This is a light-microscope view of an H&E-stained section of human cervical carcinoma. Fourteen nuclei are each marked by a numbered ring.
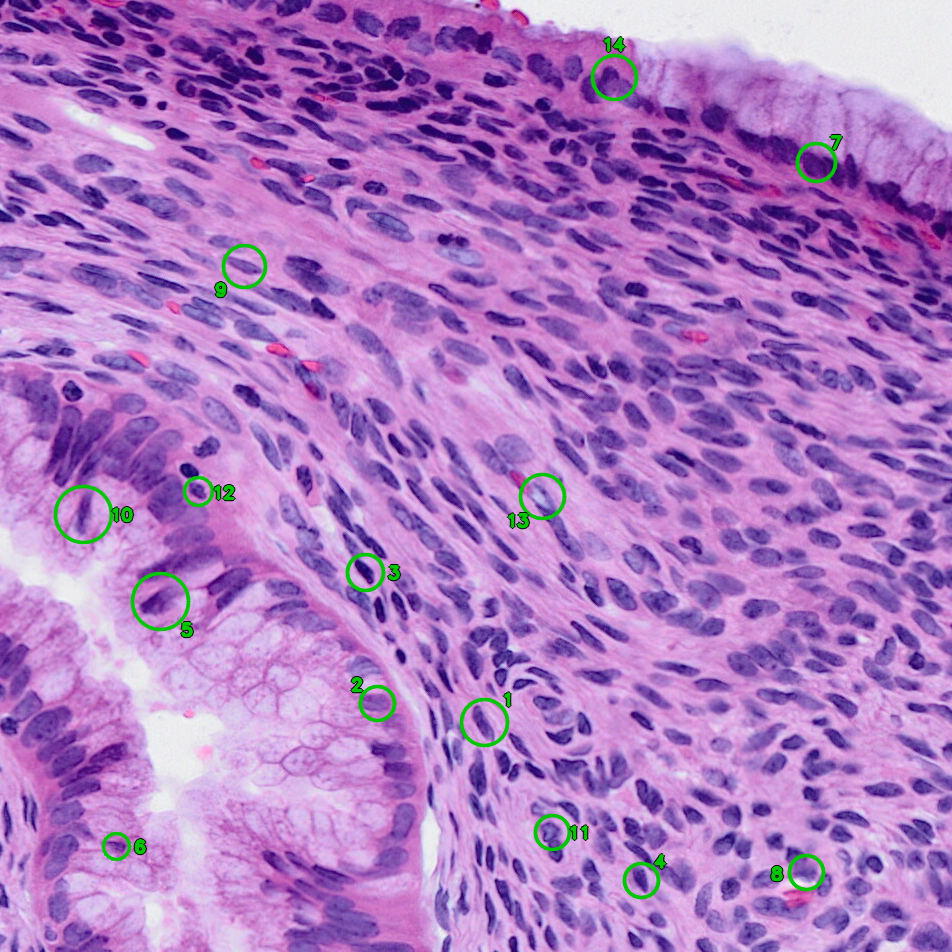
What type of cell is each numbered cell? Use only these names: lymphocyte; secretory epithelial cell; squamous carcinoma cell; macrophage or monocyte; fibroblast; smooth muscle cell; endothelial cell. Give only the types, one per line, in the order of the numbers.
fibroblast
secretory epithelial cell
lymphocyte
fibroblast
secretory epithelial cell
secretory epithelial cell
secretory epithelial cell
endothelial cell
fibroblast
secretory epithelial cell
endothelial cell
secretory epithelial cell
endothelial cell
secretory epithelial cell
